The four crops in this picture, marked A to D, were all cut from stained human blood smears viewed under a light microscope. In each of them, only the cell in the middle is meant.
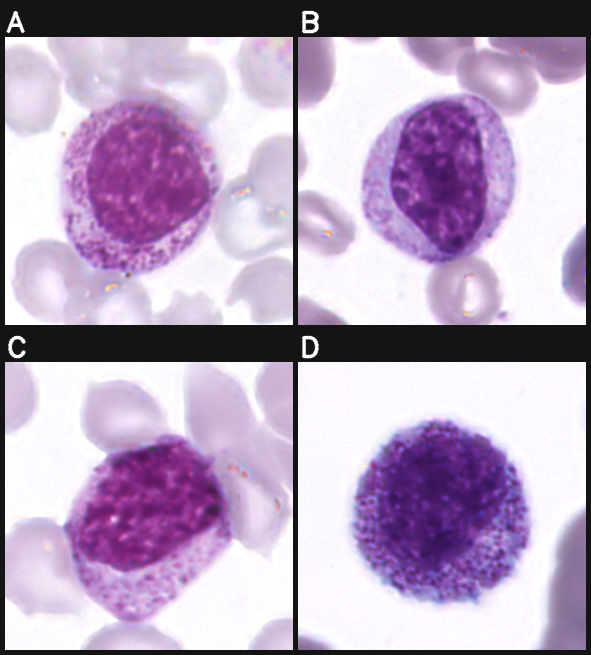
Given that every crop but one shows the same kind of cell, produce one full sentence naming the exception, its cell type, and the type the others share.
Among these crops, myelocytes occur in all but crop B, which contains a metamyelocyte.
